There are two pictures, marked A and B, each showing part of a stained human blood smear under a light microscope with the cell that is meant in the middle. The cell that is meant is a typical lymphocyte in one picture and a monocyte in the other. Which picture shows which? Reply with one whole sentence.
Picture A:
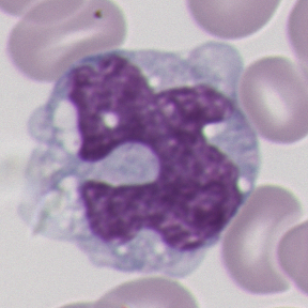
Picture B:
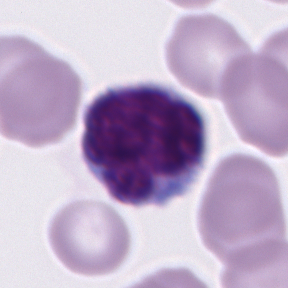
In picture A the cell is a monocyte; in picture B, a typical lymphocyte.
